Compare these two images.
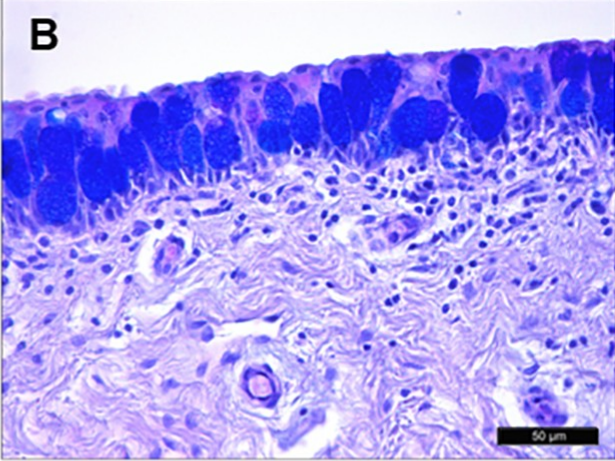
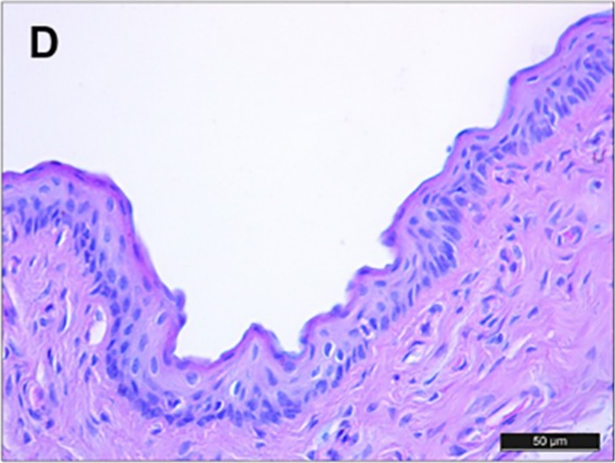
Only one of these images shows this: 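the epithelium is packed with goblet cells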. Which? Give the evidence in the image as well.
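Second image: the epithelium consists of pink-purple cell layers with no blue-filled cells. First image: many large dark blue-filled cells crowd the epithelium. The answer: the first image.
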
